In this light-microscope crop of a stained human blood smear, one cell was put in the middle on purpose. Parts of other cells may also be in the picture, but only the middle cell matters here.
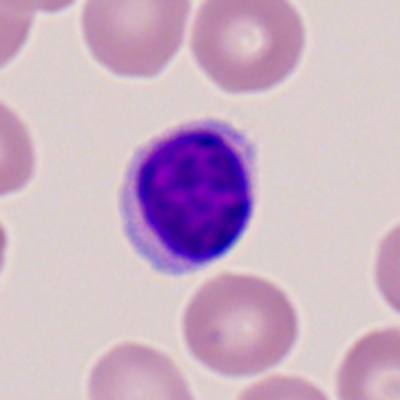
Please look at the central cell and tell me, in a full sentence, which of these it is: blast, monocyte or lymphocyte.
Classified as a lymphocyte is the cell in the middle of this crop.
